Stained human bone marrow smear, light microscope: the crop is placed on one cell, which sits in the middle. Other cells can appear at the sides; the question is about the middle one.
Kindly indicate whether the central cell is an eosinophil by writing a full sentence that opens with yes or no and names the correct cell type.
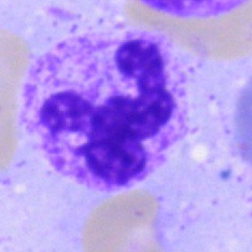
No, the central cell is not an eosinophil, being instead a segmented neutrophil.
